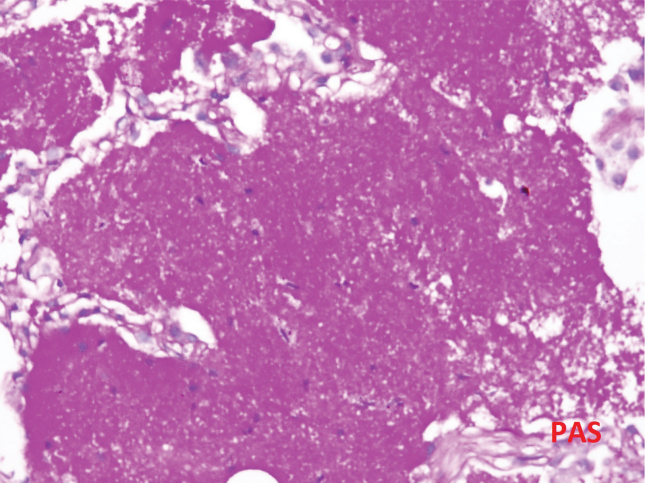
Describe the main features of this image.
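This is lung tissue in which the air spaces are filled with material that stains an intense magenta. The material is granular and fills most of the field in large confluent masses. Thin pale septa with small bluish nuclei wind between these masses, outlining the spaces. Small clear gaps and frayed edges appear where the material has pulled away from the walls.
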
